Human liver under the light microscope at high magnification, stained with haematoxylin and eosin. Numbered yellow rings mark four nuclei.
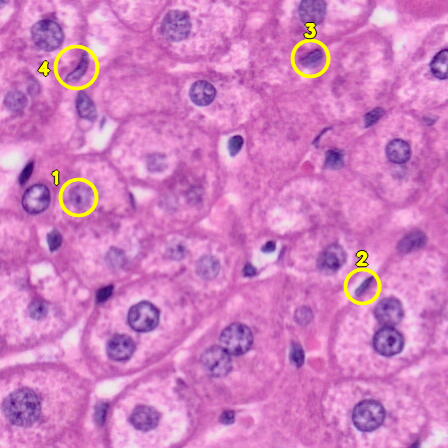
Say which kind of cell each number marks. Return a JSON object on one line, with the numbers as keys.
{"1": "hepatocyte", "2": "endothelial cell", "3": "endothelial cell", "4": "Kupffer cell"}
